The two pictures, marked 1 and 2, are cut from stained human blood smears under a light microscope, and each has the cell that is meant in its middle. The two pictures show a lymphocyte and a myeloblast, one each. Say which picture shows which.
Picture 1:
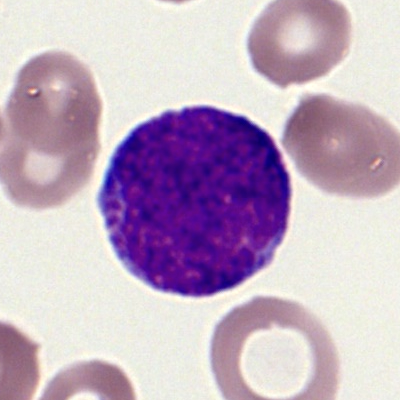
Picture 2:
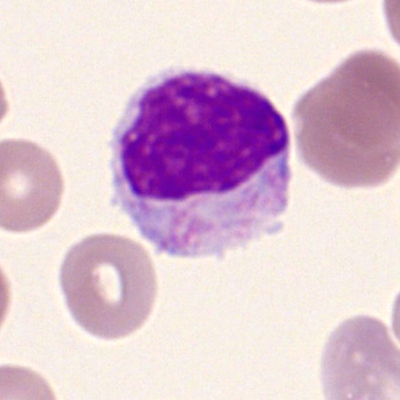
1: myeloblast
2: lymphocyte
